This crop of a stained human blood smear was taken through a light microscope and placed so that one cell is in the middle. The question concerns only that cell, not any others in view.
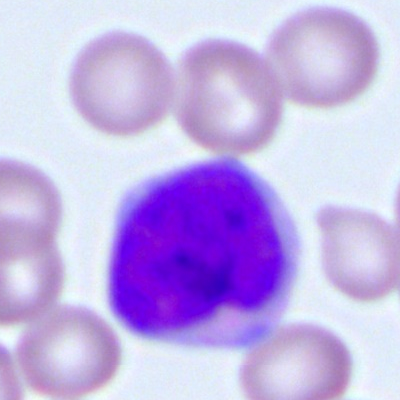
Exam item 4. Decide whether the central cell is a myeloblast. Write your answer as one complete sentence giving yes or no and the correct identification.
Yes, what sits in the centre of the crop is a myeloblast.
